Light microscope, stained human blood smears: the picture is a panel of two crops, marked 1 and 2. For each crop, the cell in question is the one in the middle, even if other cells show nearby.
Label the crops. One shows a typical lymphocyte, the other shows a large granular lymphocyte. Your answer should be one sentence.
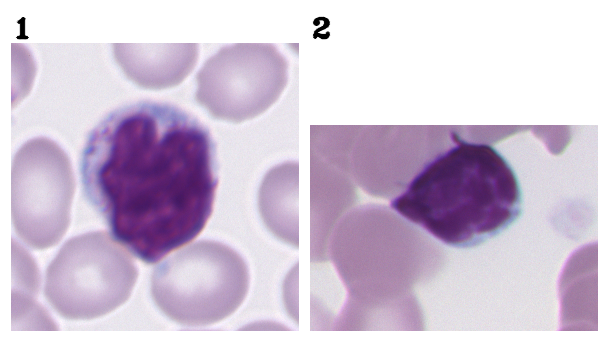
Crop 2 is a typical lymphocyte, while crop 1 is a large granular lymphocyte.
